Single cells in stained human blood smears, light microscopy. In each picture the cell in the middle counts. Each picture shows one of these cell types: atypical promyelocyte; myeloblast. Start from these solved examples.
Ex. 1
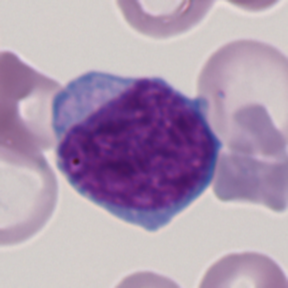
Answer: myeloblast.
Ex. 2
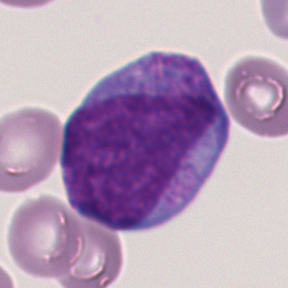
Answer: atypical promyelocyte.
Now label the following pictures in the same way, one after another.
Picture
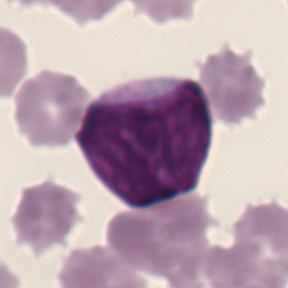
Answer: myeloblast.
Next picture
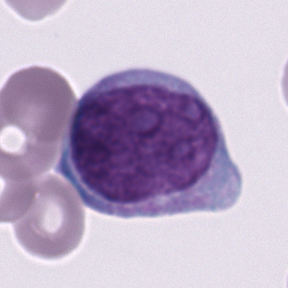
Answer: atypical promyelocyte.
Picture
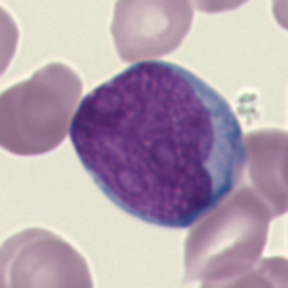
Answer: myeloblast.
